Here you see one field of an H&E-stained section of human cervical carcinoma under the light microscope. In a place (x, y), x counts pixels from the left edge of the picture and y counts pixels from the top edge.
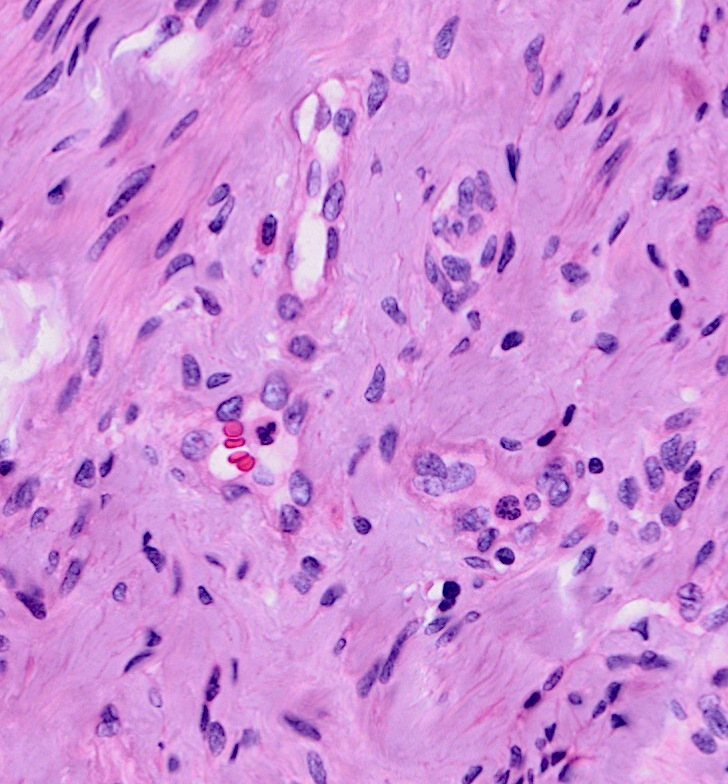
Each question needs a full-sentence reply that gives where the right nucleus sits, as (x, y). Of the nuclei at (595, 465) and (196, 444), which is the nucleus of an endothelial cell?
So, of the two, the nucleus at (196, 444) is the one belonging to an endothelial cell.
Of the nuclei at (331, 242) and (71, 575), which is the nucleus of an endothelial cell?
Among the two nuclei, the one found at (331, 242) belongs to an endothelial cell.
